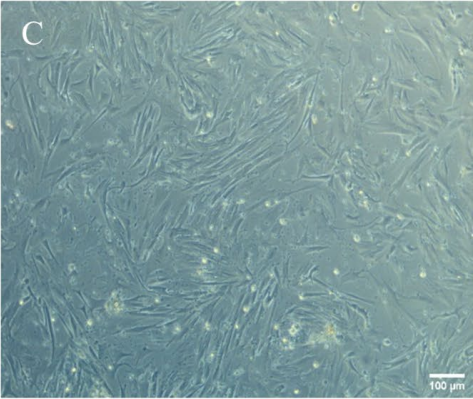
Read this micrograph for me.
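The field is crowded with long, slender, spindle-shaped cells with tapering ends. They lie side by side in parallel bundles that sweep across the field in different directions, giving a swirling, streaming pattern. Between the bundles the cells cross one another at angles. Scattered over the layer are small, bright, rounded refractile cells, and in a few places small clumps of debris or rounded cells. Compared with a cobblestone sheet of flat polygonal cells, this culture is dominated by elongated, fibroblast-like cells.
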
